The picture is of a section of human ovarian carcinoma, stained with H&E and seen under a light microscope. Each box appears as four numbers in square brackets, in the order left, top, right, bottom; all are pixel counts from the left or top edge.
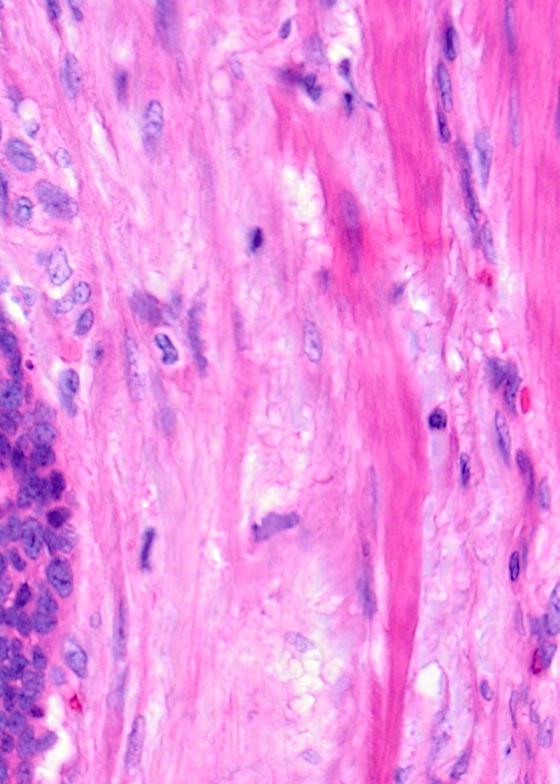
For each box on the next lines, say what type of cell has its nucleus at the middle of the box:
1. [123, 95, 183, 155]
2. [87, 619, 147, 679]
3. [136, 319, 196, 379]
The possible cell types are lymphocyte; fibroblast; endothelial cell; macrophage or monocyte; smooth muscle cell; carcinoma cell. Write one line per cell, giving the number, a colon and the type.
1: fibroblast
2: fibroblast
3: lymphocyte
